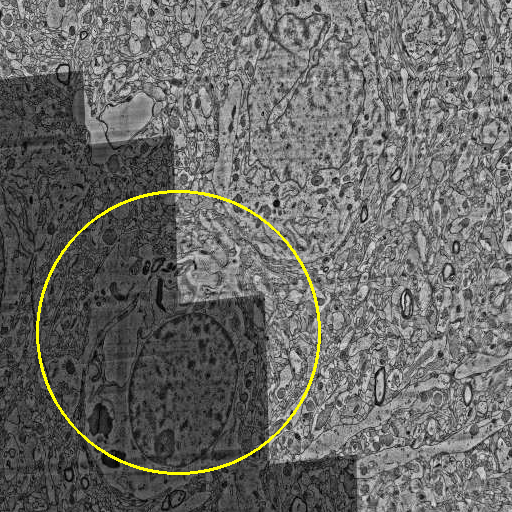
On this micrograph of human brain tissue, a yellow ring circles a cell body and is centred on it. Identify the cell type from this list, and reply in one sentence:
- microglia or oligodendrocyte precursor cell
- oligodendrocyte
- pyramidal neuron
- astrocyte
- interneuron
The cell at the centre is an astrocyte.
